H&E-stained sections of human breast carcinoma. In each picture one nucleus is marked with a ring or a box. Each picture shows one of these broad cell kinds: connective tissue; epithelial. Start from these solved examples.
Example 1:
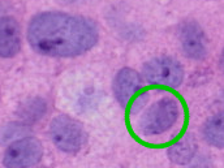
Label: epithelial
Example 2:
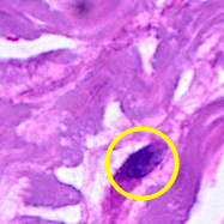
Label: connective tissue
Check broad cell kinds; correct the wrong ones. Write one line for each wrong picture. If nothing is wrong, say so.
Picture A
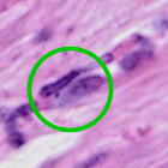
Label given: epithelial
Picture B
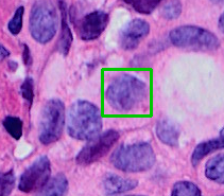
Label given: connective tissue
Wrong: A (epithelial); correct: connective tissue
Wrong: B (connective tissue); correct: epithelial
